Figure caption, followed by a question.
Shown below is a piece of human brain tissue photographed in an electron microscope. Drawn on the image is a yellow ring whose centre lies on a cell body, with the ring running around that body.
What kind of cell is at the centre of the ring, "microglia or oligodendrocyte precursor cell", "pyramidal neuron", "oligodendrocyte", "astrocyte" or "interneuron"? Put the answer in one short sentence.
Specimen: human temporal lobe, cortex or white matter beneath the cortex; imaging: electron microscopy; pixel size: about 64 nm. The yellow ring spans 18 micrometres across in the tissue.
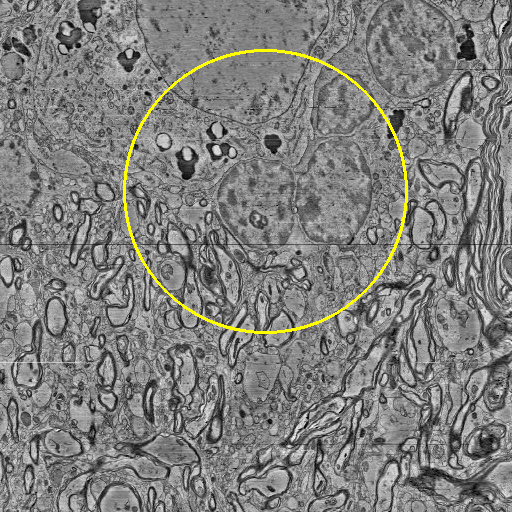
The ring marks the cell body of an oligodendrocyte.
